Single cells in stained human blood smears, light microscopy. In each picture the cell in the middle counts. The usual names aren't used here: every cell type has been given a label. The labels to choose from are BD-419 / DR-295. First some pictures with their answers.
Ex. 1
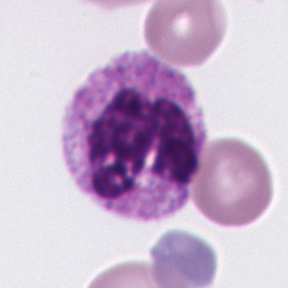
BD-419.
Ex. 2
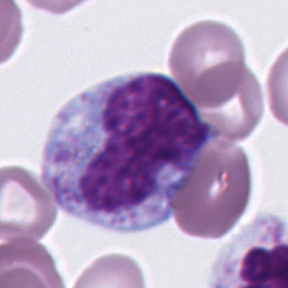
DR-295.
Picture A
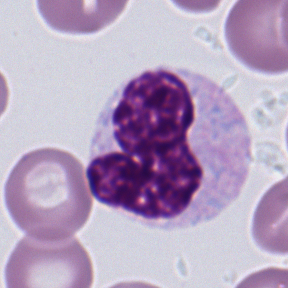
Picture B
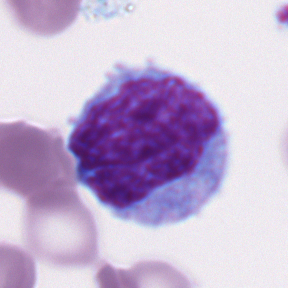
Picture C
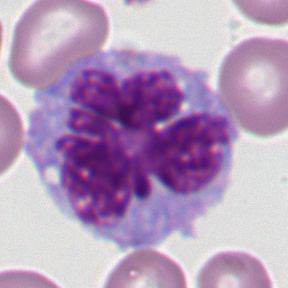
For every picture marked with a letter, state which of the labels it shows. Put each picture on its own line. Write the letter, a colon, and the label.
A: BD-419.
B: DR-295.
C: DR-295.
